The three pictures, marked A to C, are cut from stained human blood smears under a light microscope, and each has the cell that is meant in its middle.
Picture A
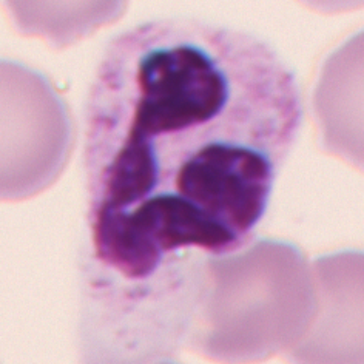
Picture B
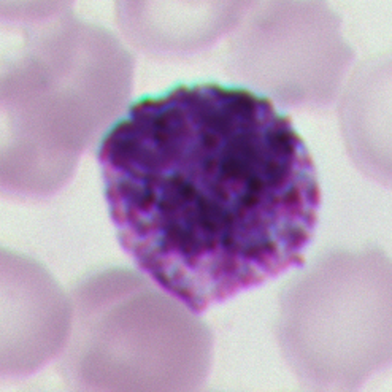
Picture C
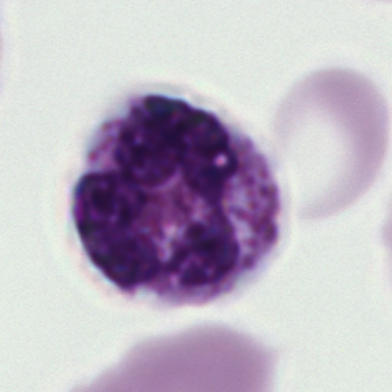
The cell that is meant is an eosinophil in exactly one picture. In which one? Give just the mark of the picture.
C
